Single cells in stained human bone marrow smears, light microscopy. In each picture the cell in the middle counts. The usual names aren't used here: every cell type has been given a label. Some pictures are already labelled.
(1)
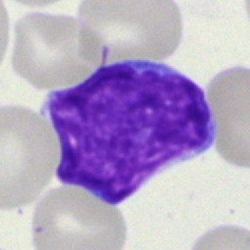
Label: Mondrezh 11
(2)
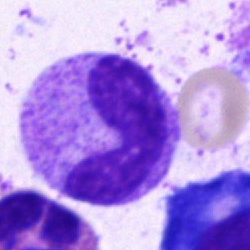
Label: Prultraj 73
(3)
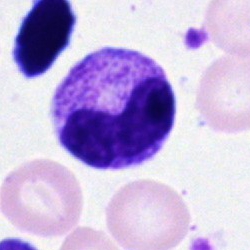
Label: Prultraj 73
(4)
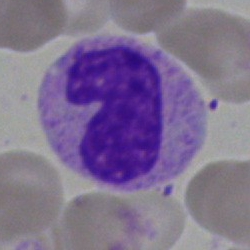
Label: Prultraj 73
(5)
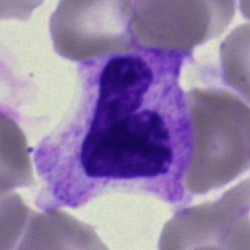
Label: Prultraj 73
